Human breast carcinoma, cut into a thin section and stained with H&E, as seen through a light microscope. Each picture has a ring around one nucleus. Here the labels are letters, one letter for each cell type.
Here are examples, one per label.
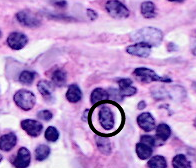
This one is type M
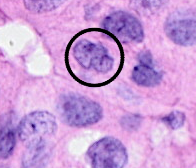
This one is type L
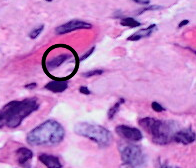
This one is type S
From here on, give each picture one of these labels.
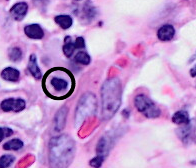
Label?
type M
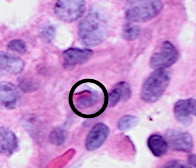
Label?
type S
